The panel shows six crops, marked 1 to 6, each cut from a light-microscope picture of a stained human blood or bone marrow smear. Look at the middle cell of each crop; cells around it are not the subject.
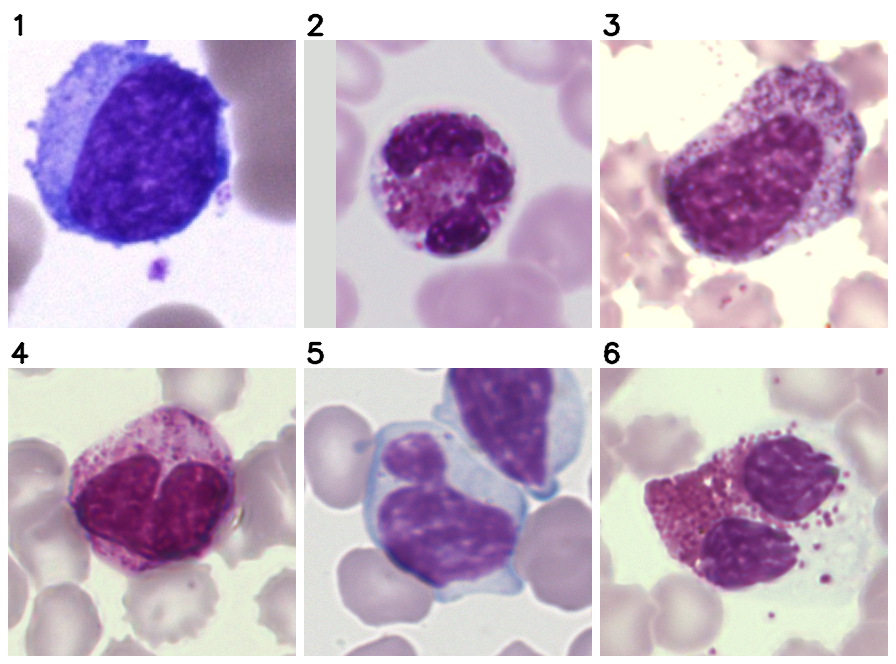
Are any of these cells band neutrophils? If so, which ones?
4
